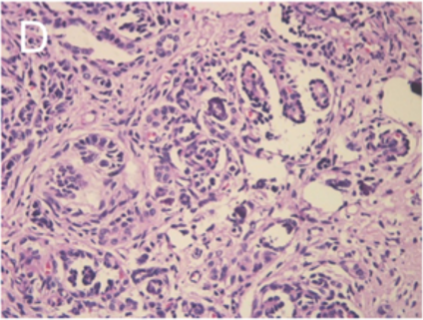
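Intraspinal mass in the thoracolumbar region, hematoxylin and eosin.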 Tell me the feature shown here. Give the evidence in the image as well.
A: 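Rounded tufts of cells lying within clear spaces. Tufts surrounded by a thin rim of flattened cells. Small tubules lined by cuboidal cells nearby. On this evidence: glomeruli.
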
